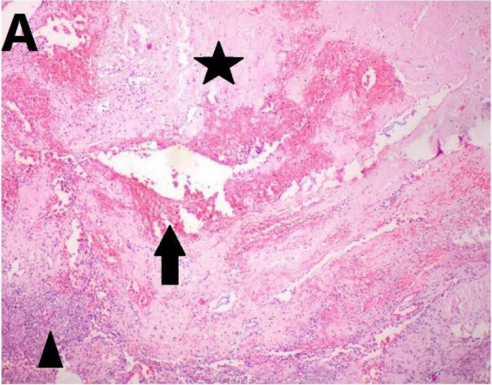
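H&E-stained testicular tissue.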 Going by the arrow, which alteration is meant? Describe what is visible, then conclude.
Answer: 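Hemorrhage. The arrow points at broad areas packed with bright red blood cells lying outside vessels. The red areas spread in streaks through the pale pink tissue.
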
